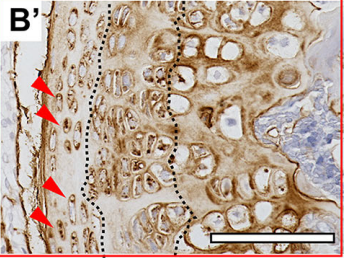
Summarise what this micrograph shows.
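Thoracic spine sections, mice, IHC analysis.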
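This is the cartilage next to the intervertebral disc, running from the thin endplate on the left through the growth plate to bone marrow on the right. On the left a narrow layer of small, flattened chondrocytes forms the endplate, with brown staining along its edge. In the middle, a band of smaller chondrocytes lies between the dotted lines. To the right the chondrocytes become large and swollen in wide lacunae, arranged in rough columns, typical of hypertrophic cartilage. At the far right the cartilage borders blue-stained marrow tissue.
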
